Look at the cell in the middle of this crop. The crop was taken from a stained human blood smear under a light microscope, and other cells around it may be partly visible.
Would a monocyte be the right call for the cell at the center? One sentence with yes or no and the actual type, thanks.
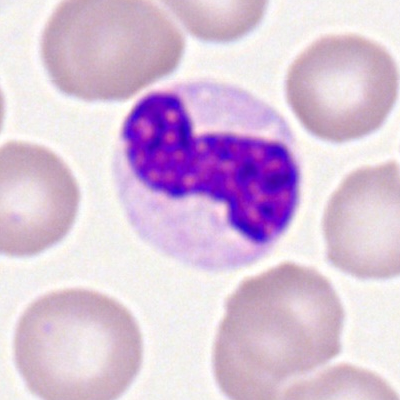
No, what occupies the middle of the crop is a band neutrophil and not a monocyte.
